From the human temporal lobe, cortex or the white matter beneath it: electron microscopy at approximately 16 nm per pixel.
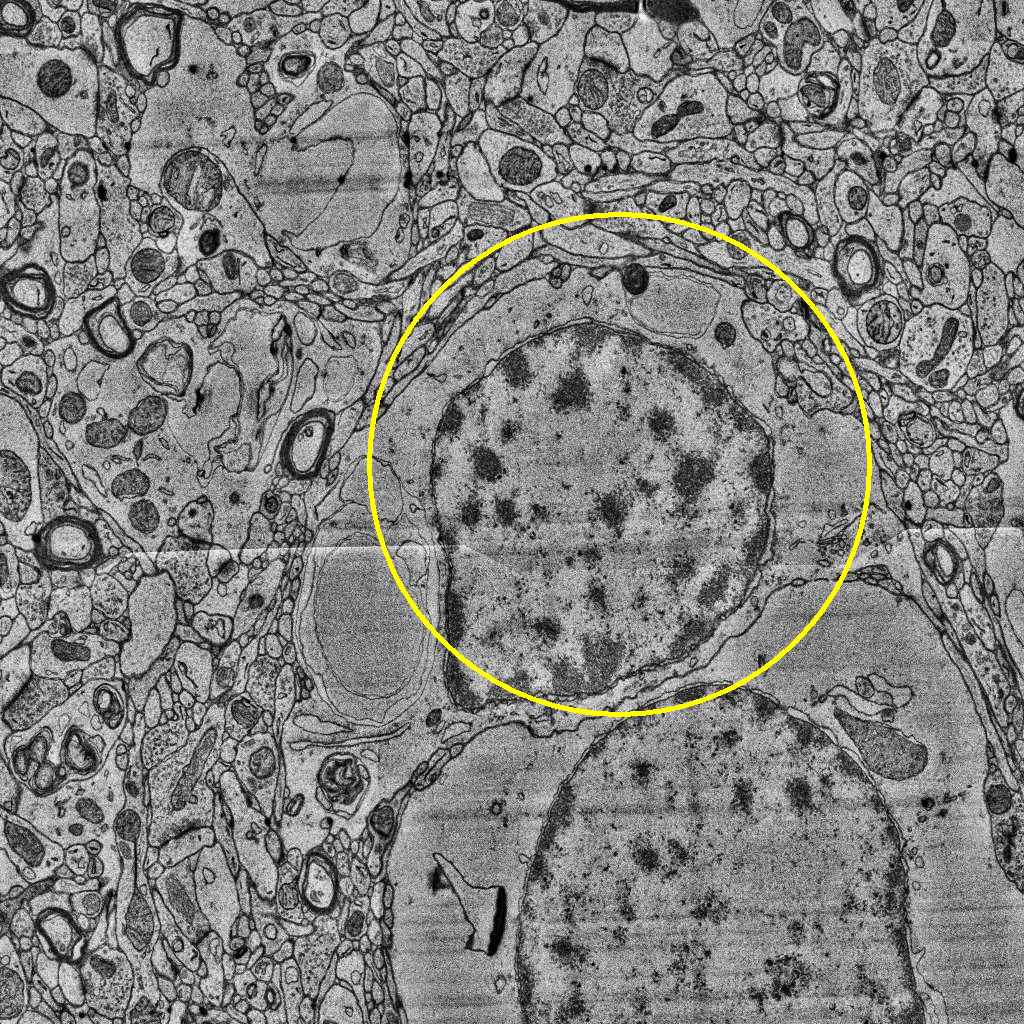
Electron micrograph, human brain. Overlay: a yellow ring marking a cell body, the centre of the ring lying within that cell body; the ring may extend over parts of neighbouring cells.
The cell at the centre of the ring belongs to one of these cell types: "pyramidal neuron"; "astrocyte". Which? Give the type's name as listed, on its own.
astrocyte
